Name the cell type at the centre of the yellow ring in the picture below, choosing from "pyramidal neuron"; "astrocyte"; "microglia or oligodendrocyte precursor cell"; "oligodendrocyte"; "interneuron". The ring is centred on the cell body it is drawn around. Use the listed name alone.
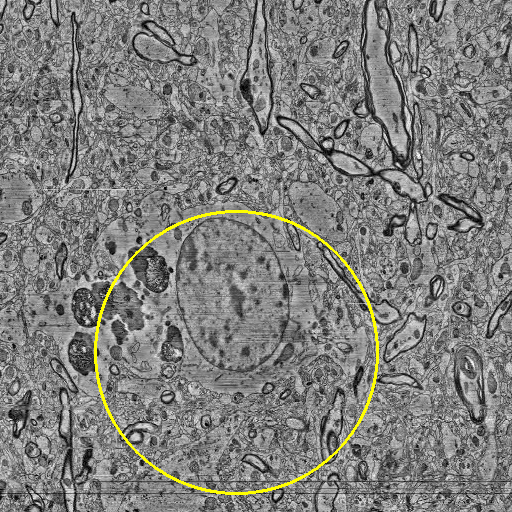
astrocyte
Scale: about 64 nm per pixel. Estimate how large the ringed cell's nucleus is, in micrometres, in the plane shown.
Roughly 10 micrometres by 7 micrometres, in this plane.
